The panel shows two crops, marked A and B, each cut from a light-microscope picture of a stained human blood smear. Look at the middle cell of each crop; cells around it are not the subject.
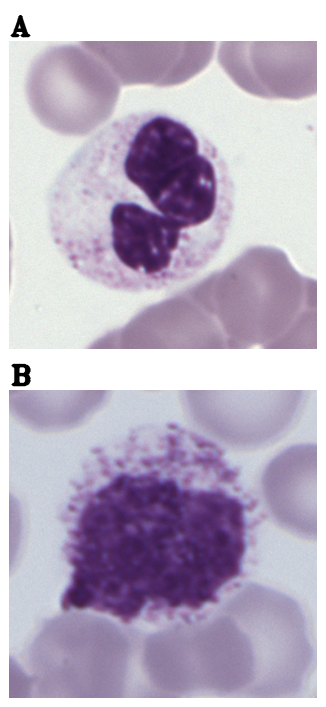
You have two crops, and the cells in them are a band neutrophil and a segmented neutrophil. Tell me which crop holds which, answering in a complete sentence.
Respectively, crops A and B show a segmented neutrophil and a band neutrophil.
